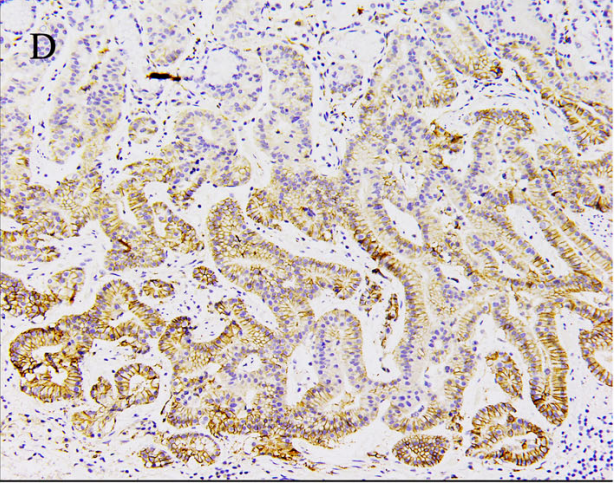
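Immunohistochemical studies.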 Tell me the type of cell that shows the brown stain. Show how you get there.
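Crowded, back-to-back tubular and trabecular epithelial structures fill the field. Brown stain outlines the membranes of the cells in these structures. The stroma between them is unstained.
Answer: Tumor cells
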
